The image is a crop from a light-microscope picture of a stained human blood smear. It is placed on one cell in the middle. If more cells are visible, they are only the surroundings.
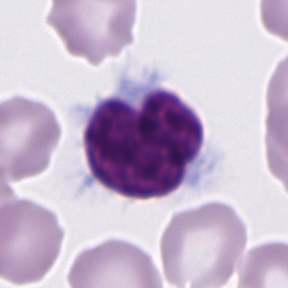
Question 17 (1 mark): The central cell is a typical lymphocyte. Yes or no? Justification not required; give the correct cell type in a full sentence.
No, the cell located centrally is a hairy cell rather than a typical lymphocyte.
